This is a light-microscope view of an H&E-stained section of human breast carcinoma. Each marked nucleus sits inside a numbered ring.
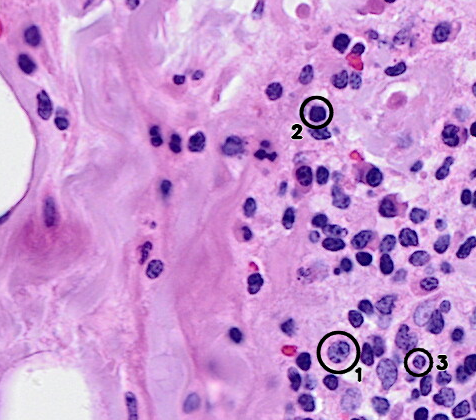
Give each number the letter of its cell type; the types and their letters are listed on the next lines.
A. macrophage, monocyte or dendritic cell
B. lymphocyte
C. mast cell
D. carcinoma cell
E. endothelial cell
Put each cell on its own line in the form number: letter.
1: C
2: B
3: B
